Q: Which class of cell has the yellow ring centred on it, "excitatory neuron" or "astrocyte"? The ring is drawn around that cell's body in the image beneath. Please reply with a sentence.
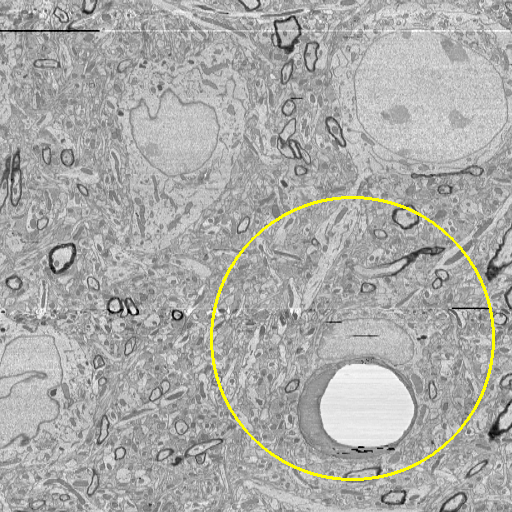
It is centred on an astrocyte.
